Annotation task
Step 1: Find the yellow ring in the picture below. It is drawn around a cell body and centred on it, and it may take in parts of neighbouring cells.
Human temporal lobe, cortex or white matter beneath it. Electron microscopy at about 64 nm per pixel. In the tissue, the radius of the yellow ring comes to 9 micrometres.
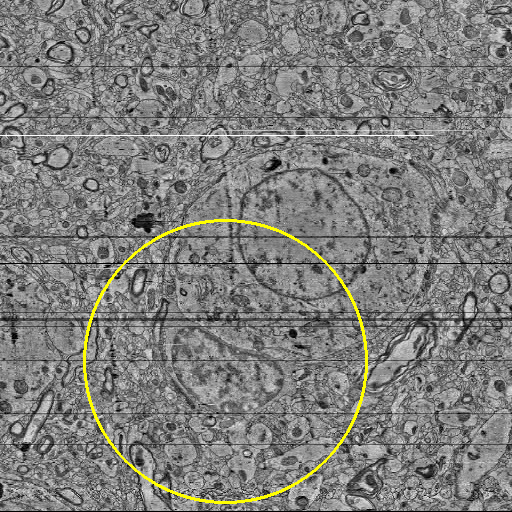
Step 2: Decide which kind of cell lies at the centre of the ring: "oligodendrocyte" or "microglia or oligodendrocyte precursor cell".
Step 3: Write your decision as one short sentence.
The kind of cell at the ring's centre is an oligodendrocyte.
